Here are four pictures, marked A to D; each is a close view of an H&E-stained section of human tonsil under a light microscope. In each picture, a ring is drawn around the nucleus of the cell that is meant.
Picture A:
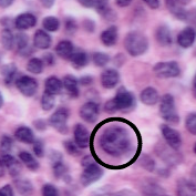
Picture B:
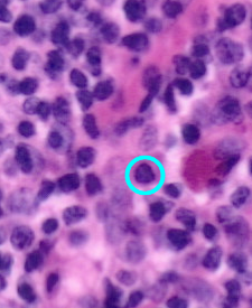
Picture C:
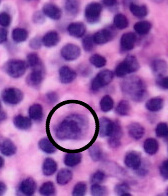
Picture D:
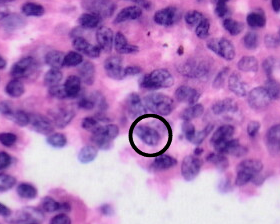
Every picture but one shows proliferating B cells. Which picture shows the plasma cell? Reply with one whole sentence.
The cell in picture B is the plasma cell.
